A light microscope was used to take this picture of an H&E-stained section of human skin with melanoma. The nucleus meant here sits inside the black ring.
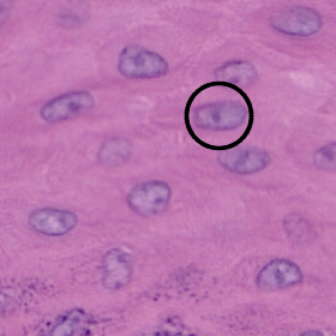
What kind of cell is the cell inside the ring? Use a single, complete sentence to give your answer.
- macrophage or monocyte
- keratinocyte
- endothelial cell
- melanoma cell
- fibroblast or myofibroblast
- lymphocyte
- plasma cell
The expected answer is simply that the cell inside the ring is a keratinocyte.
